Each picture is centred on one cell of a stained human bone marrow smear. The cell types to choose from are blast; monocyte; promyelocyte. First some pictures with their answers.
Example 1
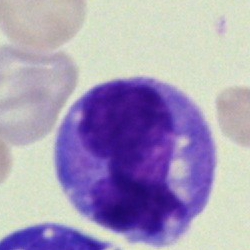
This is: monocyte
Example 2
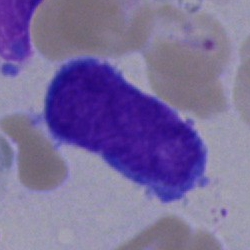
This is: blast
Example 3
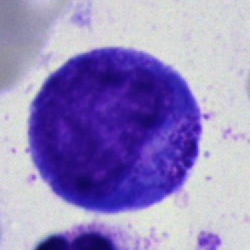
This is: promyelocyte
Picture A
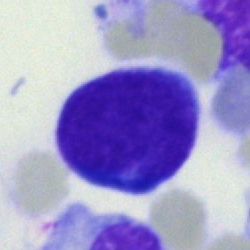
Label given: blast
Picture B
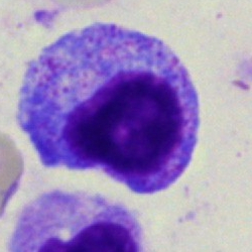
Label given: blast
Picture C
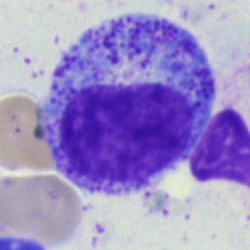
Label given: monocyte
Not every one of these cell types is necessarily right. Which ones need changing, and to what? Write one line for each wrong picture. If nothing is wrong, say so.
B: change blast to promyelocyte
C: change monocyte to promyelocyte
